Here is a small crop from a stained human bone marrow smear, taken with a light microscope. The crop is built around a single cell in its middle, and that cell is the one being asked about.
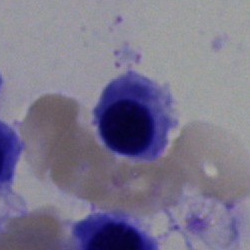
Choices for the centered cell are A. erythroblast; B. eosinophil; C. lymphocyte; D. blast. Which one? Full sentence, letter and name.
That middle cell is an erythroblast, and option A is therefore correct.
